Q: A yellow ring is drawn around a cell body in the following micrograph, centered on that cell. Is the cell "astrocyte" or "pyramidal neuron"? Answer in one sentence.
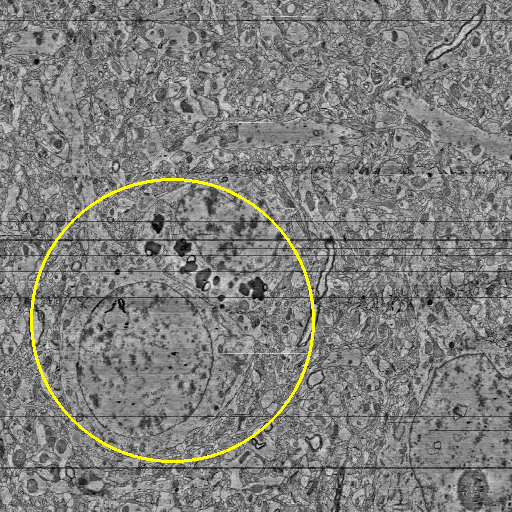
The cell in the center of the ring is a pyramidal neuron.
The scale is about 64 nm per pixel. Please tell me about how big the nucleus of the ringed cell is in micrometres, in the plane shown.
The ringed cell's nucleus measures approximately 11 by 9 micrometres in this plane.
